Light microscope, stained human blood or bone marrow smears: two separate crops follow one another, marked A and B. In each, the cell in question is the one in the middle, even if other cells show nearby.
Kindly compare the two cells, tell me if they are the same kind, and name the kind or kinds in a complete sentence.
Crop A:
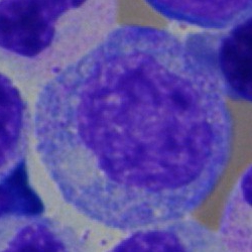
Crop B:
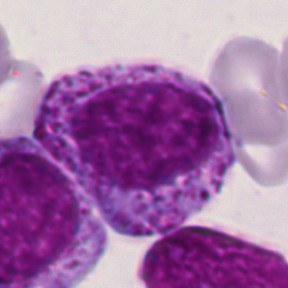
No, crop A shows a promyelocyte, with a myelocyte shown in crop B.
